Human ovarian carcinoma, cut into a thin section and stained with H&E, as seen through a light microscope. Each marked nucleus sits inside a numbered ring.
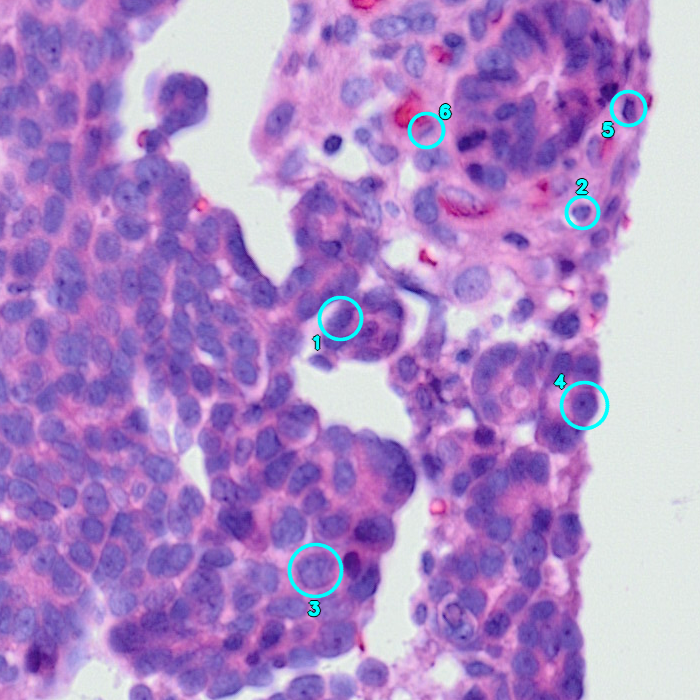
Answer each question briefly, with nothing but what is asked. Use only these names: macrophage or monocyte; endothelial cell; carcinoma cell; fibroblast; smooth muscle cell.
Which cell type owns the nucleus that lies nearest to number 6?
fibroblast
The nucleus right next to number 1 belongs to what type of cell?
carcinoma cell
